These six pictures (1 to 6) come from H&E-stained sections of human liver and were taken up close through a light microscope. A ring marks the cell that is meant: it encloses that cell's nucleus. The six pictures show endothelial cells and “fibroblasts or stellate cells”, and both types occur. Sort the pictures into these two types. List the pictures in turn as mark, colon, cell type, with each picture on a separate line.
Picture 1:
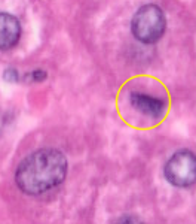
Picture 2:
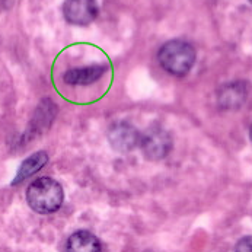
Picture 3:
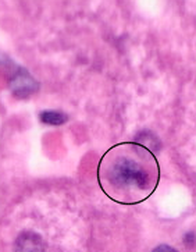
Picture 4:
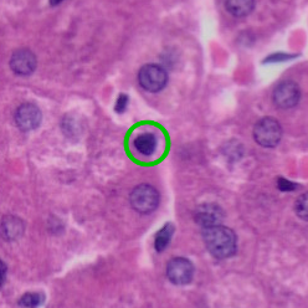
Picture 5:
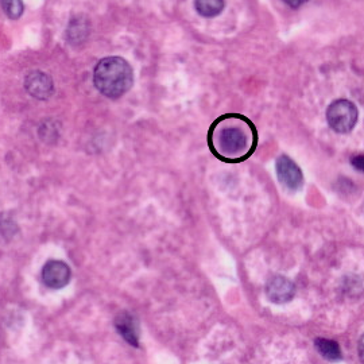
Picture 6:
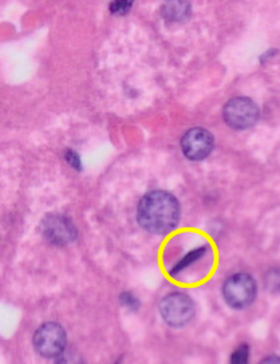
1: fibroblast or stellate cell
2: fibroblast or stellate cell
3: endothelial cell
4: fibroblast or stellate cell
5: fibroblast or stellate cell
6: endothelial cell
